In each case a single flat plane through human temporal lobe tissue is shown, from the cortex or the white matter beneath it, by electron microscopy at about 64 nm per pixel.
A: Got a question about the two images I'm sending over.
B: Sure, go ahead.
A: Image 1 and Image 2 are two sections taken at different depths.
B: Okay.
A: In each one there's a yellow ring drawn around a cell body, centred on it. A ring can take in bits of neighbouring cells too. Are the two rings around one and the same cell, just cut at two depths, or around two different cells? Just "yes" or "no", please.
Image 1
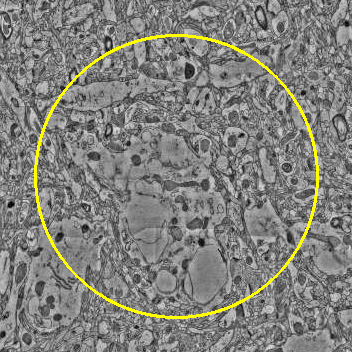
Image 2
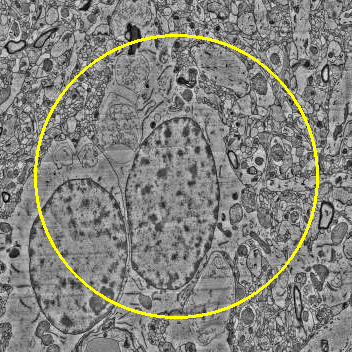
no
